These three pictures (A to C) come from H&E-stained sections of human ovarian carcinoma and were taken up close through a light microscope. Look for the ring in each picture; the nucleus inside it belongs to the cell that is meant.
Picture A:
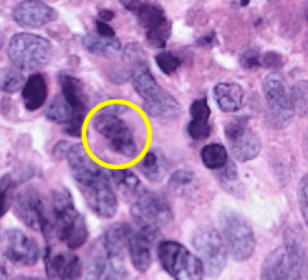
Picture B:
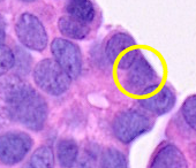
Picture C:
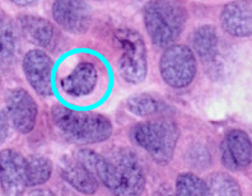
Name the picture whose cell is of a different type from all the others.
C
